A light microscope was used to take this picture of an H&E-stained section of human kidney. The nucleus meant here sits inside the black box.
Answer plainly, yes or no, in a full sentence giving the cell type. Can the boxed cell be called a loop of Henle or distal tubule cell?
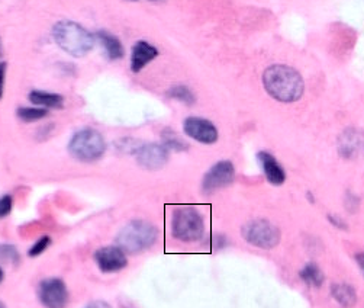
Yes, the classification of the boxed cell as a loop of Henle or distal tubule cell is accurate.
